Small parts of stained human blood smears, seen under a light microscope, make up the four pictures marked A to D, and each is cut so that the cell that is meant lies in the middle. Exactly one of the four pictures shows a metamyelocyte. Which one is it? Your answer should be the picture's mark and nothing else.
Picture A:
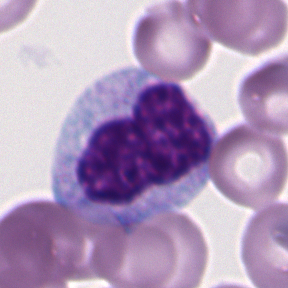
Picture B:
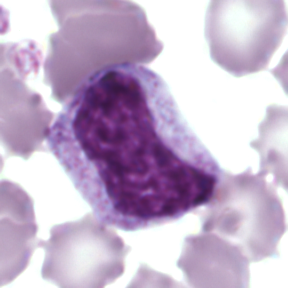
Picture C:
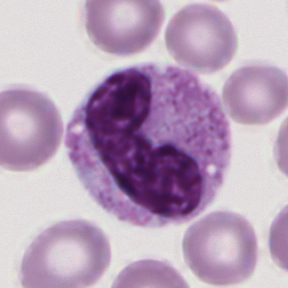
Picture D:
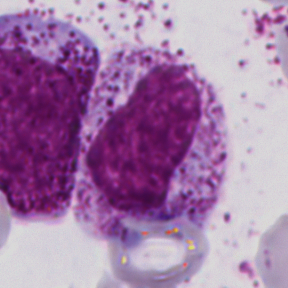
B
